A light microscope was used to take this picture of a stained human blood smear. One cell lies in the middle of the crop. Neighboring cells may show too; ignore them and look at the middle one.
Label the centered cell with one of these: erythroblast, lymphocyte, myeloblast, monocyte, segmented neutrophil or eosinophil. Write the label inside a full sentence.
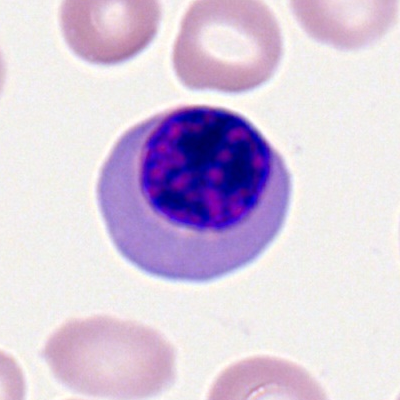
Within this crop, an erythroblast occupies the central position.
